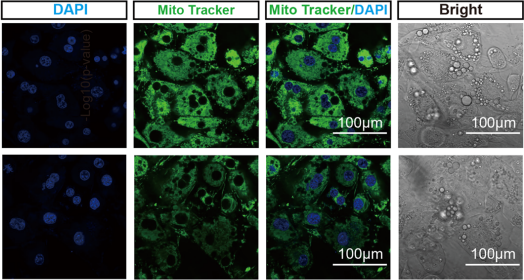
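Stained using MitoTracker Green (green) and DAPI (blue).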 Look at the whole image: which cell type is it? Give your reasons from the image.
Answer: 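The bright-field column shows many round, refractile droplets inside the cells. The cells are large, with one nucleus each and cytoplasm crowded with vesicles.
Answer: adipocytes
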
